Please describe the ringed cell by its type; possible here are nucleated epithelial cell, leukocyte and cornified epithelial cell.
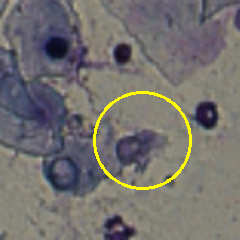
The yellow ring marks a nucleated epithelial cell.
